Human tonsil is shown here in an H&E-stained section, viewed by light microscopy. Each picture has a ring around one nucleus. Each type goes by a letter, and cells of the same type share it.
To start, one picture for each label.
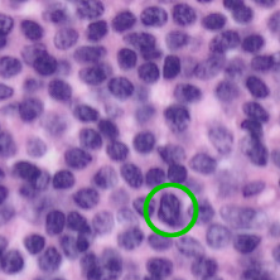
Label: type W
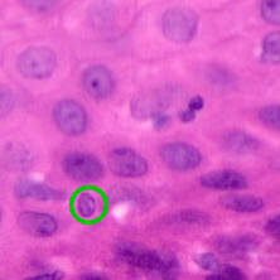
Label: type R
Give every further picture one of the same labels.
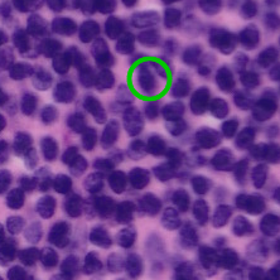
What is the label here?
type W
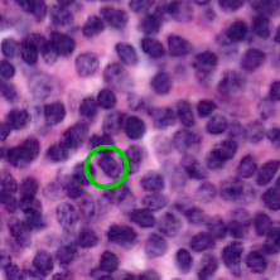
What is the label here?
type W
